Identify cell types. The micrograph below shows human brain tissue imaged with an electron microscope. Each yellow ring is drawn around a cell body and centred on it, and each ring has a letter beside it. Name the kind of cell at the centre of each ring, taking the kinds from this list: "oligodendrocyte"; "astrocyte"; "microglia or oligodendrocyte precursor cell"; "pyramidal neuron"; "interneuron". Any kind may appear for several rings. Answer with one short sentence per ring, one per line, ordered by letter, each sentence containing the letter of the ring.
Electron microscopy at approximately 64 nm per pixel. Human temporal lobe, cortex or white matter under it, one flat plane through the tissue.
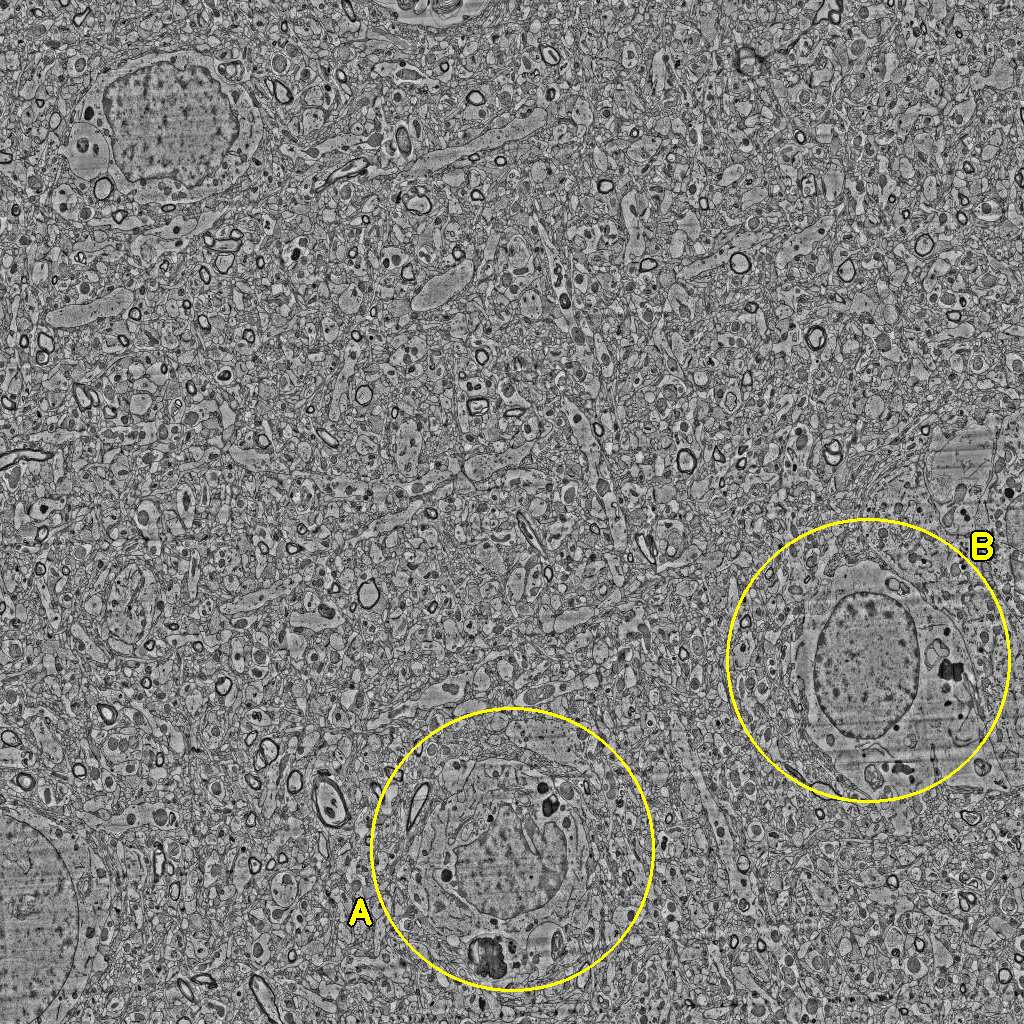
Ring A marks an interneuron.
Ring B marks an astrocyte.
